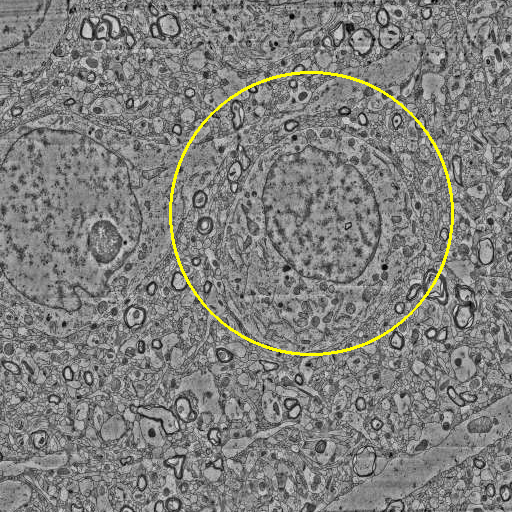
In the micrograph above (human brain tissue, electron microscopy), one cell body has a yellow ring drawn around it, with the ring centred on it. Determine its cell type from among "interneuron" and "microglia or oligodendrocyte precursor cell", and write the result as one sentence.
The cell whose body is ringed is an interneuron.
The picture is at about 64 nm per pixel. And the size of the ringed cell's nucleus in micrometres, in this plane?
The nucleus comes to roughly 9 by 7 micrometres in this plane.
